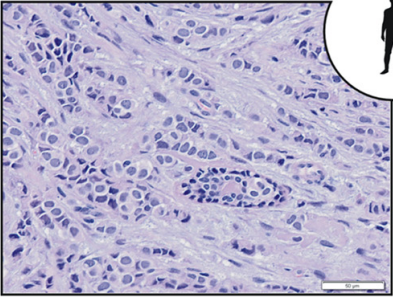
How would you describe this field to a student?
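Small, fairly uniform tumour cells infiltrate a pale pink fibrous stroma, lying singly and in narrow strands and single-file rows between the stromal fibres. The cells have round to oval purple nuclei and a modest rim of pale cytoplasm and do not form glands. Near the centre a small compact cluster of cells with darker, crowded nuclei forms a duct-like structure, around which the infiltrating cells are arranged.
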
